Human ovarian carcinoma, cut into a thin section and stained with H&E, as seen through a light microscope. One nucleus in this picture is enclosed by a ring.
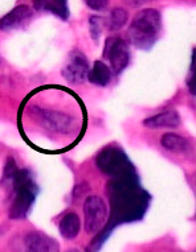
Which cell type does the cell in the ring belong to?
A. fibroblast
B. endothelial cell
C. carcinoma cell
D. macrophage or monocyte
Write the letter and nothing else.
B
